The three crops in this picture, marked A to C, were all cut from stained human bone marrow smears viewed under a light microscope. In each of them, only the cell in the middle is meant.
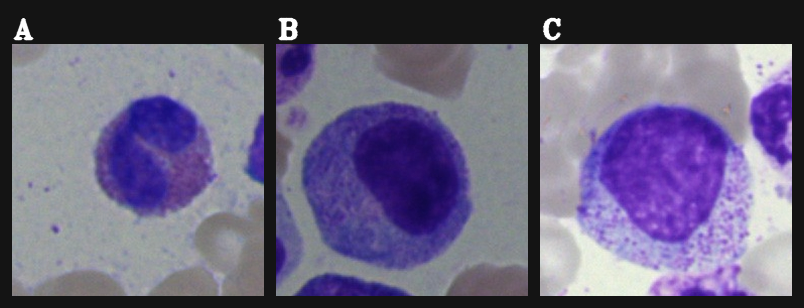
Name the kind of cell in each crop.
A: eosinophil
B: myelocyte
C: myelocyte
